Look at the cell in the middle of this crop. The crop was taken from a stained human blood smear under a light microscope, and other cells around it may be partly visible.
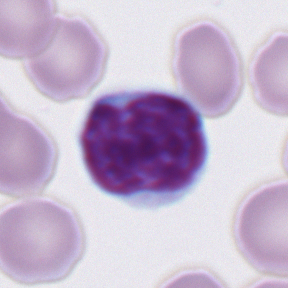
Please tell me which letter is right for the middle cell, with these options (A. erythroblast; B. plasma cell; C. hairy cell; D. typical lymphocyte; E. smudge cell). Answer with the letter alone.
D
